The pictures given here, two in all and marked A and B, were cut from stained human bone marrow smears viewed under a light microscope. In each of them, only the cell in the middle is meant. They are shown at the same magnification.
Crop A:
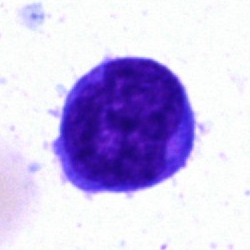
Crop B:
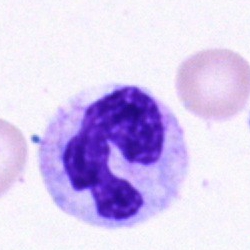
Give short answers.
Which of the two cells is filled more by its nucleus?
A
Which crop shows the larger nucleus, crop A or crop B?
A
